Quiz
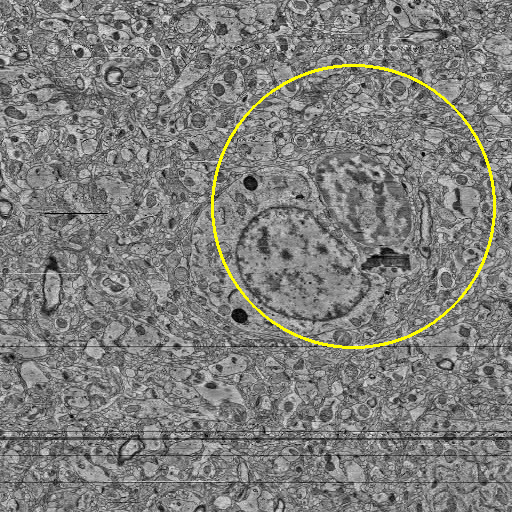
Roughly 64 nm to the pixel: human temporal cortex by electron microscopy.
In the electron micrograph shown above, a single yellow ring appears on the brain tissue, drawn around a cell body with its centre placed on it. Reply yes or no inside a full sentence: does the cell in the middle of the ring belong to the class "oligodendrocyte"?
Yes, the cell at the centre of the ring in the picture belongs to that class.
